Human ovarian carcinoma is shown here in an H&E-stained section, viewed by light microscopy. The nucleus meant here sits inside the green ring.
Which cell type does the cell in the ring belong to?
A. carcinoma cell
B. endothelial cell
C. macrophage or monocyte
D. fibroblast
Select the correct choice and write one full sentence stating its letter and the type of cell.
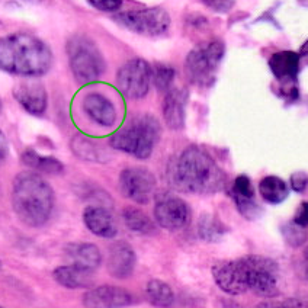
Option C is correct in stating that the cell in the ring is a macrophage or monocyte.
